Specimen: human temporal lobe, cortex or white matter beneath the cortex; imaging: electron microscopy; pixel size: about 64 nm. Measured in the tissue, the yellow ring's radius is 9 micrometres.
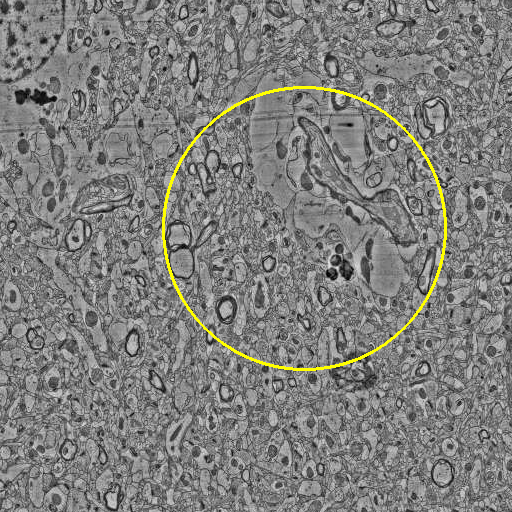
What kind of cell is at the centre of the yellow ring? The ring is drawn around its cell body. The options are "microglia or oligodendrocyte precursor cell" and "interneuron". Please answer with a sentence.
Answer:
The yellow ring marks the cell body of a microglial cell or oligodendrocyte precursor cell.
